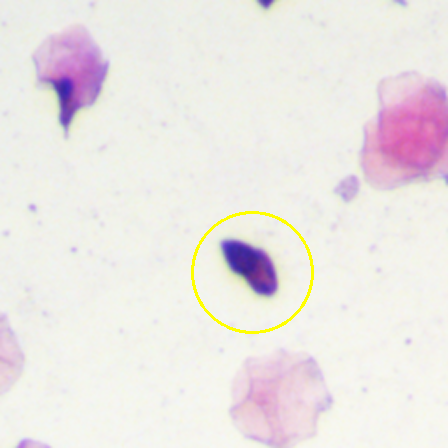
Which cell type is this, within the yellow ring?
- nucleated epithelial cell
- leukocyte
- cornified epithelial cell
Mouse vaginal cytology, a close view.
Within the ring is a nucleated epithelial cell.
